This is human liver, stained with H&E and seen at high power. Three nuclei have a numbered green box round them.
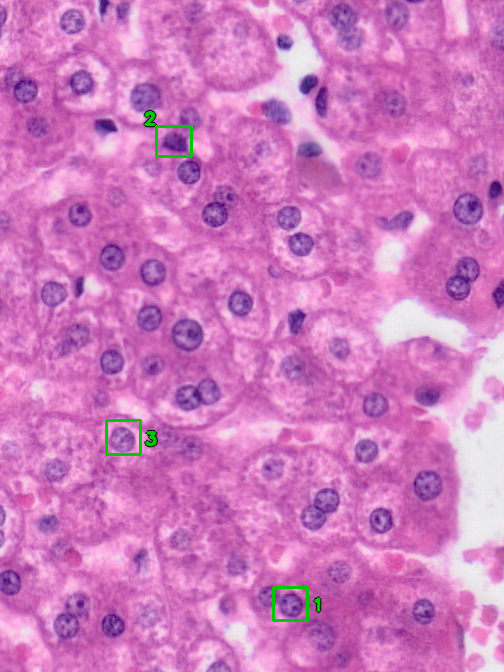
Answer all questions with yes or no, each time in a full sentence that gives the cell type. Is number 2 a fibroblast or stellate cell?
Yes, that is so; number 2 marks a fibroblast or stellate cell.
